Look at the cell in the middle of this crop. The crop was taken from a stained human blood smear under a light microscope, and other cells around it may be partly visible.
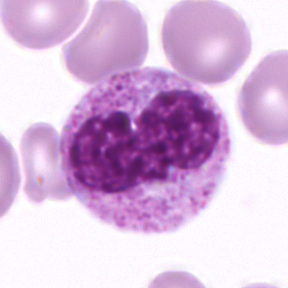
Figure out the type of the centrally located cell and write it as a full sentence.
Standing at the centre of this crop is a band neutrophil.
